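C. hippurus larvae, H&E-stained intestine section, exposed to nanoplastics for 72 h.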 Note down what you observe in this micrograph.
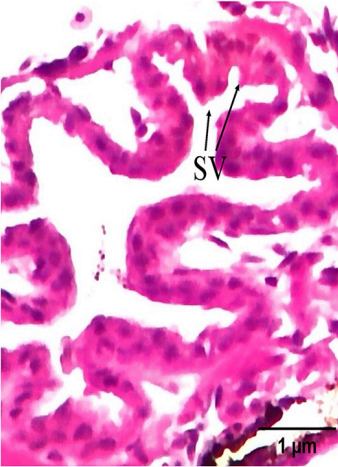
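The folds are stubby and irregular, packed close together around narrow, branching spaces of lumen. Each is covered by a row of epithelial cells with dark purple, oval nuclei and pink cytoplasm, surrounding a thin pale core. The nuclei are crowded, and in places the epithelial layers of neighbouring folds lie almost against each other. A thin outer wall with flattened nuclei encloses the mucosa at the top of the section.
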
